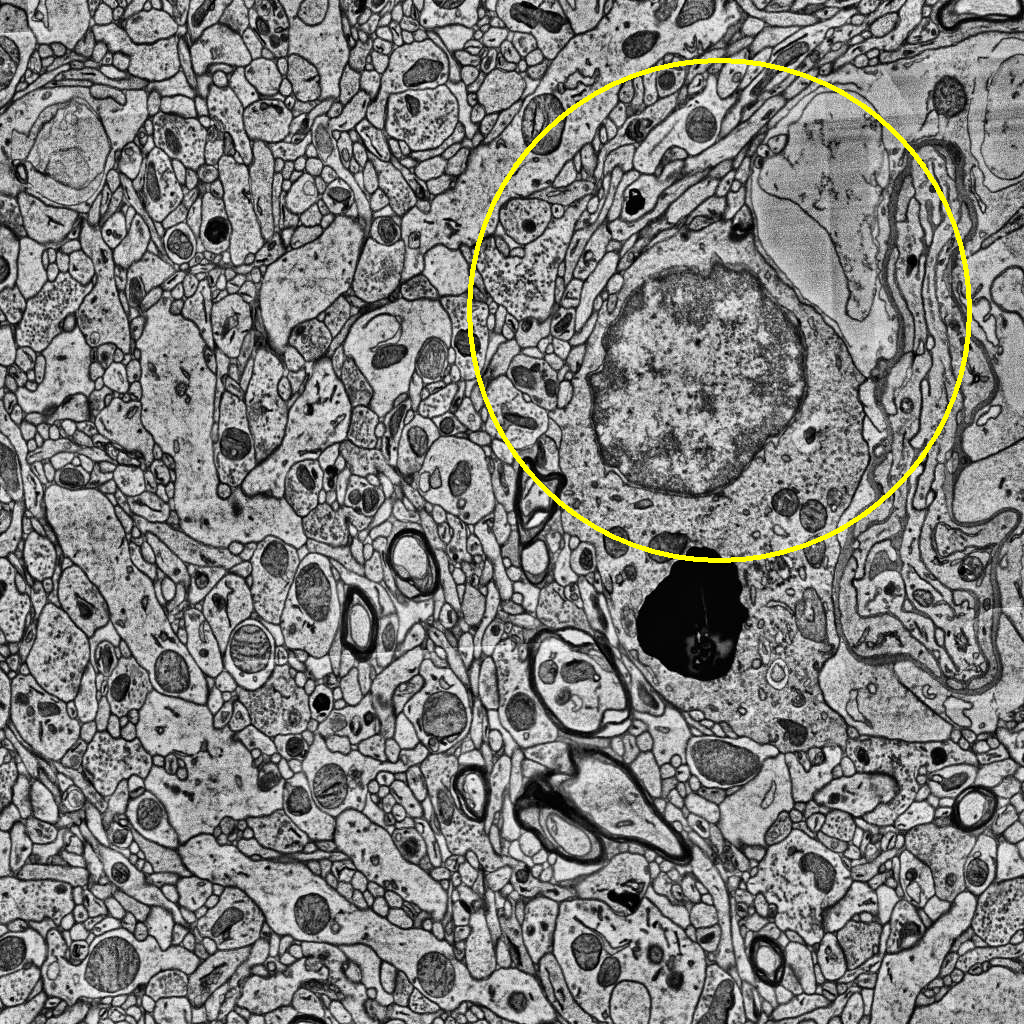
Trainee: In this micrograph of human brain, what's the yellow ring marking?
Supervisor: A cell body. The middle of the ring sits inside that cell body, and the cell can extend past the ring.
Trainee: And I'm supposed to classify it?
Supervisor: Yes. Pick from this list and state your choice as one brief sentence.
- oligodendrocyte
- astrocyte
The cell at the ring's center is an oligodendrocyte.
